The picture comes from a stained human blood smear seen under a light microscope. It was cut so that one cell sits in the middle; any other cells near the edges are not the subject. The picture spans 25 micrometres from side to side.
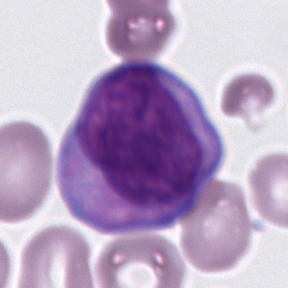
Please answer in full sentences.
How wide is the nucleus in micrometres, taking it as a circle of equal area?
The nucleus is about 11 micrometres across.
